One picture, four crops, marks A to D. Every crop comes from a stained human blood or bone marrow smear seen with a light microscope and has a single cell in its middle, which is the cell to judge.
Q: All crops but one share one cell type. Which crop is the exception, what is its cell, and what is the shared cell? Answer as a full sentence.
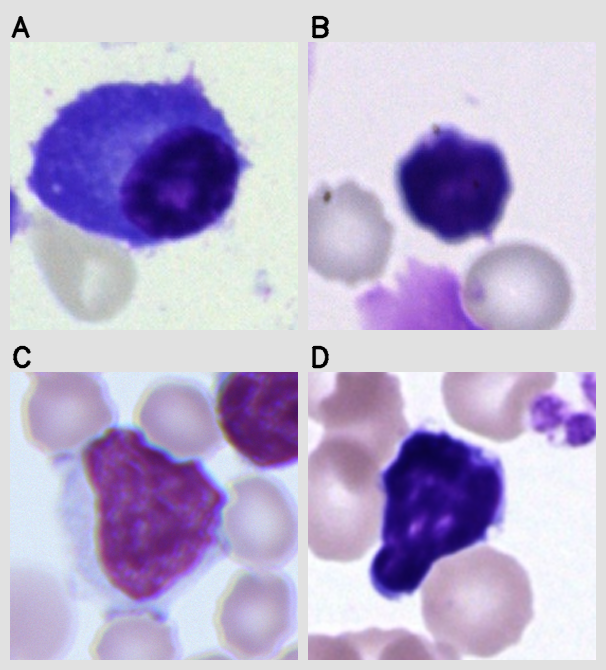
The crop that differs is A, which is a plasma cell; the rest are lymphocytes.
